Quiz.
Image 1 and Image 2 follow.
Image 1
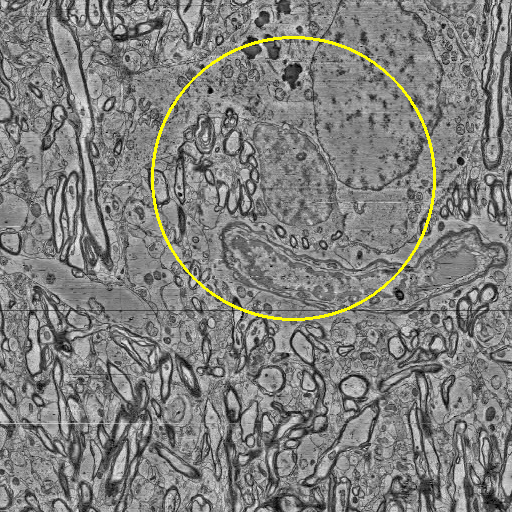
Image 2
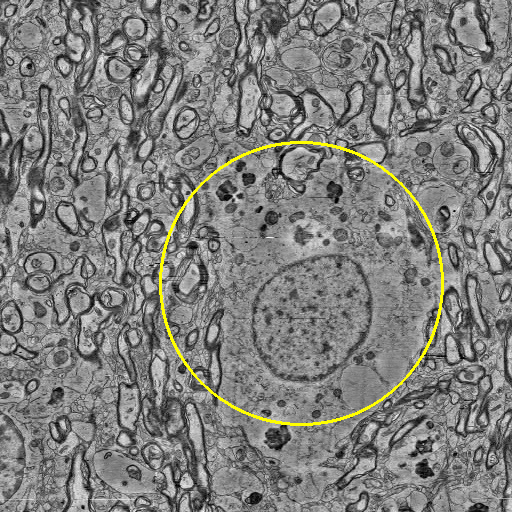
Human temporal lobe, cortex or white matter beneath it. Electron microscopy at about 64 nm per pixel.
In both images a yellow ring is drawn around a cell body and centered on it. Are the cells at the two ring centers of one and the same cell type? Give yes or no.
no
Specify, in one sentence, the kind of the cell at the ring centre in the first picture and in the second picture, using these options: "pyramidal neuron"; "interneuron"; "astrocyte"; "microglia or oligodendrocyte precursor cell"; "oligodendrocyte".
So the first is an oligodendrocyte, the second an astrocyte.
